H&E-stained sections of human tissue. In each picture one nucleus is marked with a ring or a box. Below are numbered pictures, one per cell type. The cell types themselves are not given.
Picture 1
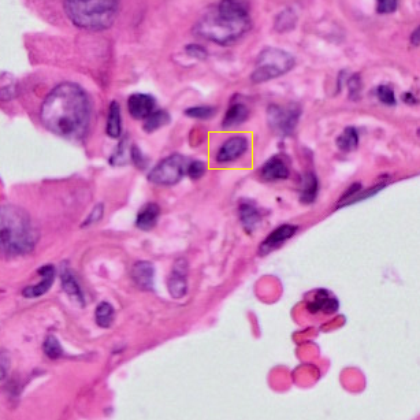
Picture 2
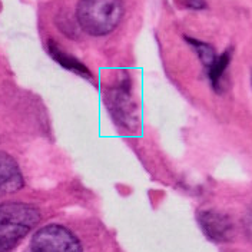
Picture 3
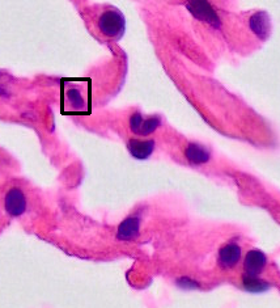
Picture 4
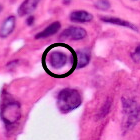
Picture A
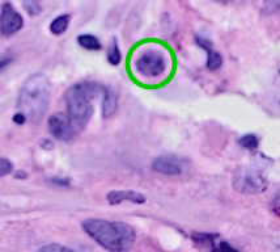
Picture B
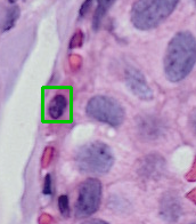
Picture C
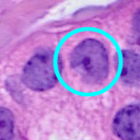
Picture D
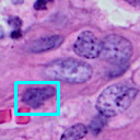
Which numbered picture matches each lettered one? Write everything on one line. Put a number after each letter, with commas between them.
A 1, B 1, C 2, D 3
